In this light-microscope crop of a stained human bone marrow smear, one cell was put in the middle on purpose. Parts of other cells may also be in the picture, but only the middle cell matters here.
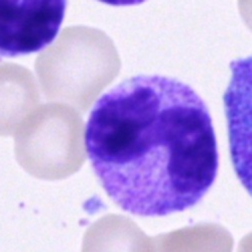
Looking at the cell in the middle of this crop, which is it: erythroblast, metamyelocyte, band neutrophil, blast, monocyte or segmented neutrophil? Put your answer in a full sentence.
The centered cell in this crop is a segmented neutrophil.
